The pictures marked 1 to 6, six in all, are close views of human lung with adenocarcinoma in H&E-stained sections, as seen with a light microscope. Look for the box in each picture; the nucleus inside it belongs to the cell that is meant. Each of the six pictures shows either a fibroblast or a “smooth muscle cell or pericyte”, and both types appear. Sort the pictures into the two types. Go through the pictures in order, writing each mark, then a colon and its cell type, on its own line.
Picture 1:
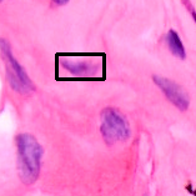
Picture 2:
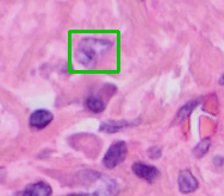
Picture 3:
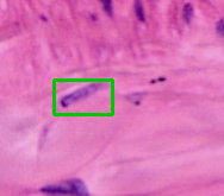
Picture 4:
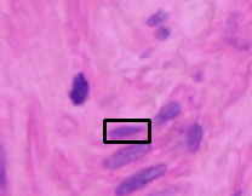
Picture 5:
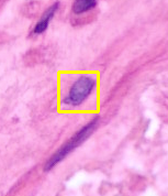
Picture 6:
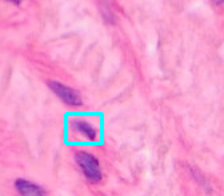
1: fibroblast
2: fibroblast
3: fibroblast
4: smooth muscle cell or pericyte
5: smooth muscle cell or pericyte
6: smooth muscle cell or pericyte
